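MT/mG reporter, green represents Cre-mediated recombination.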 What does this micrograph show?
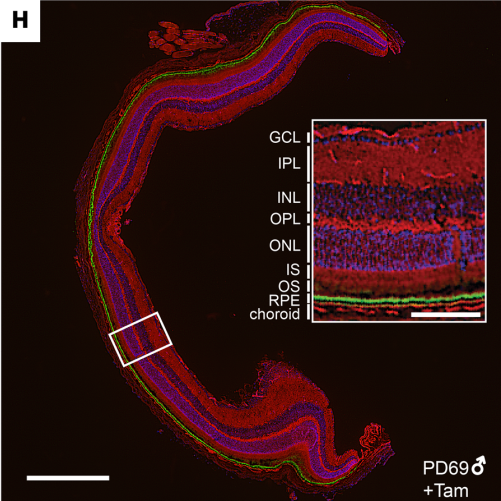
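A curved cross section of the retina shows stacked layers: blue bands of nuclei separated by red plexiform bands, then photoreceptor segments. A single thin green band follows the outer epithelial layer next to the choroid along the whole section, and no green is seen in the inner layers.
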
